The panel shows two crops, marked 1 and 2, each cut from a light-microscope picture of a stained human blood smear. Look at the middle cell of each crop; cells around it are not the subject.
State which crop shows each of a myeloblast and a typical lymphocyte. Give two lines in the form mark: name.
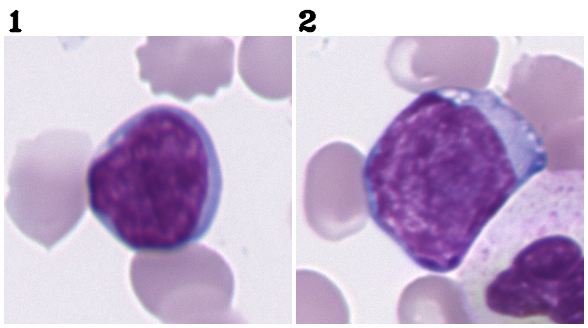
1: typical lymphocyte
2: myeloblast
